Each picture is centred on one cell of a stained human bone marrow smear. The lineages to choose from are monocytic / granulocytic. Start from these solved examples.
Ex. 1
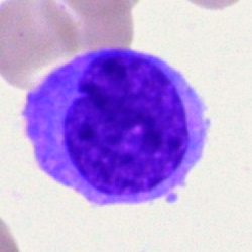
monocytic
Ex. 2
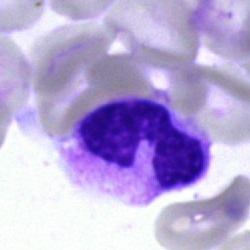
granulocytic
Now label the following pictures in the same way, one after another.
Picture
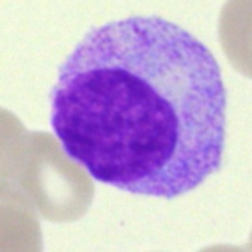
granulocytic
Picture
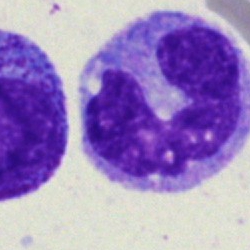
monocytic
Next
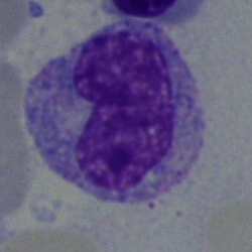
monocytic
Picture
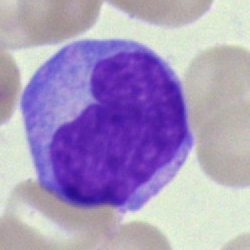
monocytic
